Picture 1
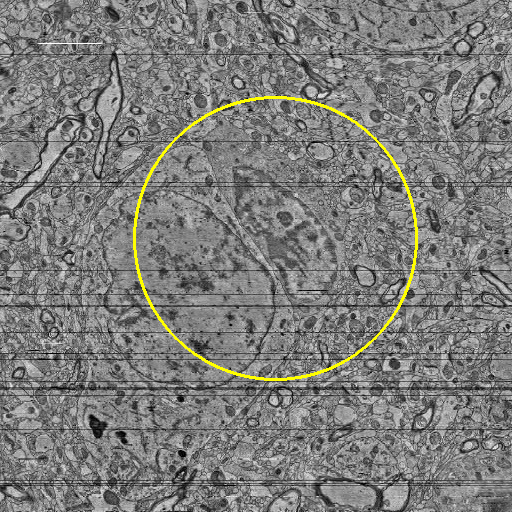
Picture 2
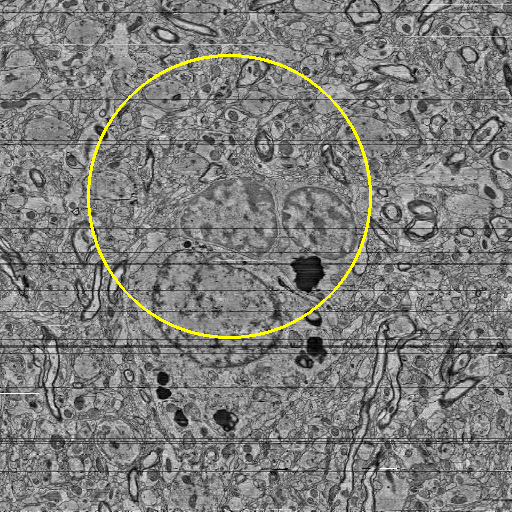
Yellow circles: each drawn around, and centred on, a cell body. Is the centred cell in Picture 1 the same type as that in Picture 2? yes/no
yes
